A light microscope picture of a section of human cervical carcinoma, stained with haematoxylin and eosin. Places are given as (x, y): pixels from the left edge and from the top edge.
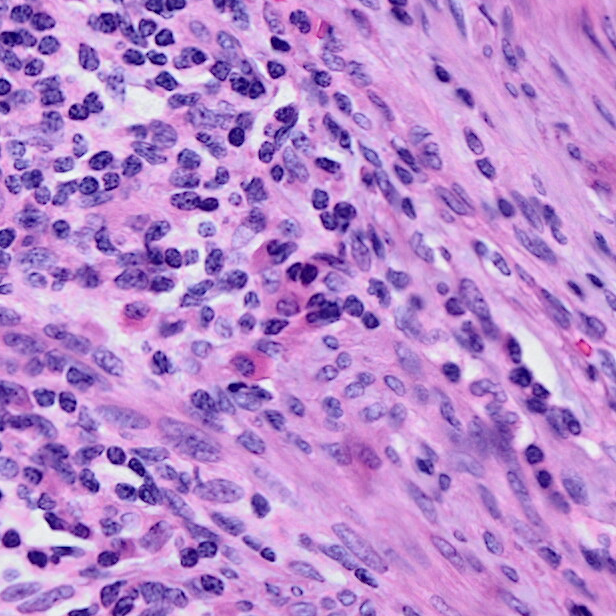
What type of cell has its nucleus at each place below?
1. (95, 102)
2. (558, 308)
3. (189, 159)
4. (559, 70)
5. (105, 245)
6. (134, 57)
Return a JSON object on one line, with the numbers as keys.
{"1": "lymphocyte", "2": "endothelial cell", "3": "lymphocyte", "4": "smooth muscle cell", "5": "lymphocyte", "6": "lymphocyte"}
